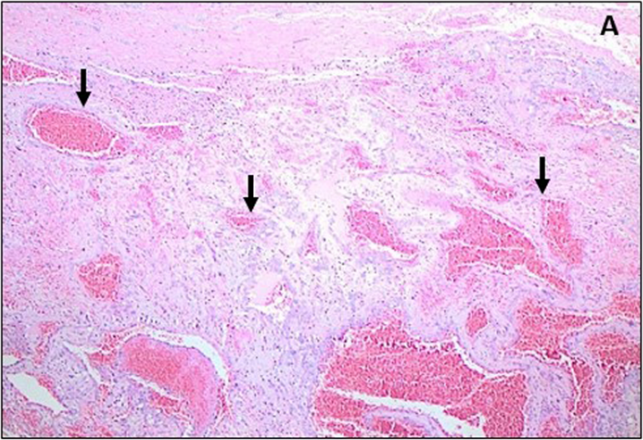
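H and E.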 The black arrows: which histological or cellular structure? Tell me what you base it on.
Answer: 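The arrows point to spaces filled with red blood cells. The filled spaces vary in size and are widened.
Answer: dilated blood vessels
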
